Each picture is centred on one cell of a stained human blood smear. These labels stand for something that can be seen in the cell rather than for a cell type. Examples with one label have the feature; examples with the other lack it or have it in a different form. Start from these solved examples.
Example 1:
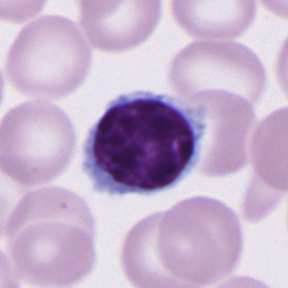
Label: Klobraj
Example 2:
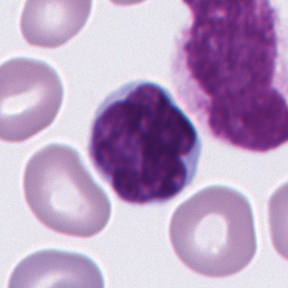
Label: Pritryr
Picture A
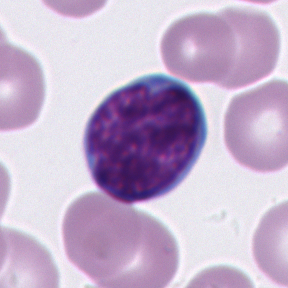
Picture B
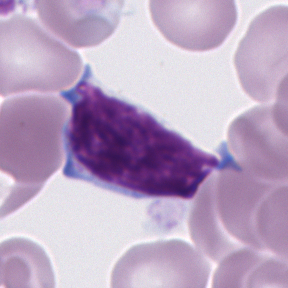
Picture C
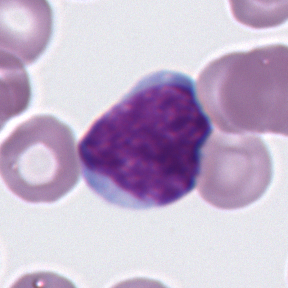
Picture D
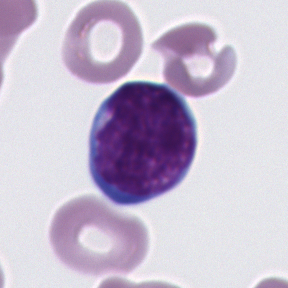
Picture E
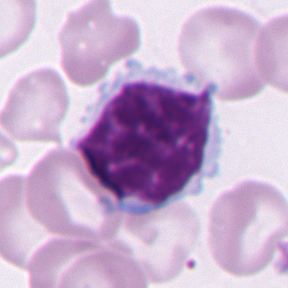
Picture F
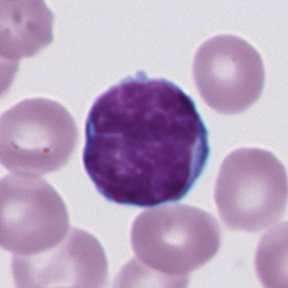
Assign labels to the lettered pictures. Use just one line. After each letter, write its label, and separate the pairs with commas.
A Pritryr, B Klobraj, C Pritryr, D Pritryr, E Klobraj, F Klobraj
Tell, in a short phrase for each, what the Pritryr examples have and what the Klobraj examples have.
In Pritryr: smooth outline. In Klobraj: ragged outline or projections.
